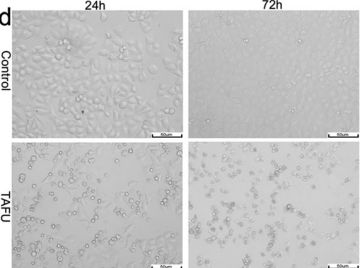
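In the upper images the flattened cells cover the dish in a near-continuous layer with faint outlines. In the lower images the sheet is broken up, and many cells are small, rounded and bright-edged, scattered over the surface.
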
